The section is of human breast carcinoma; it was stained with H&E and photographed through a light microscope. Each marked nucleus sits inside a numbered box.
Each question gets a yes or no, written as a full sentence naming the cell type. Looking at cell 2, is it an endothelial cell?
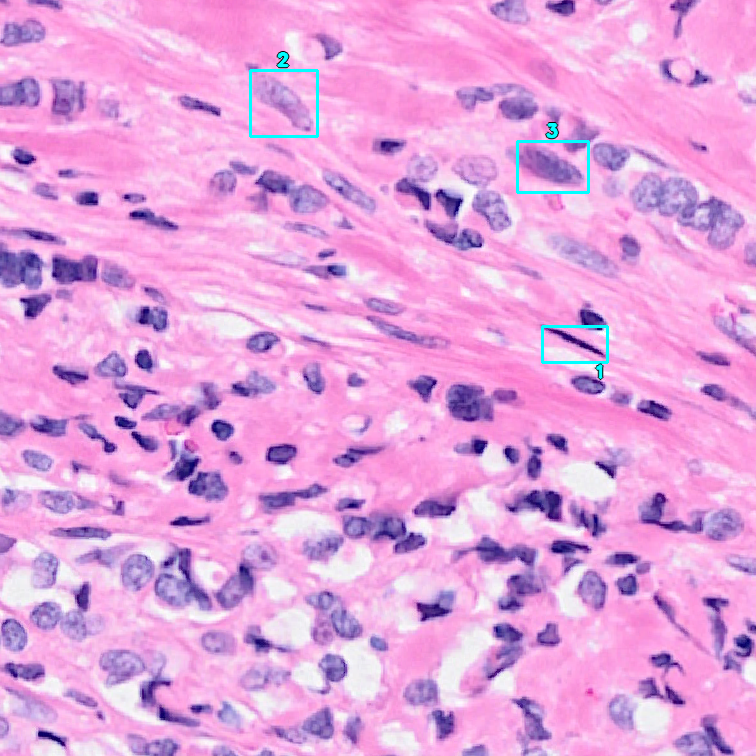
No, the right label for cell 2 is a fibroblast rather than an endothelial cell.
